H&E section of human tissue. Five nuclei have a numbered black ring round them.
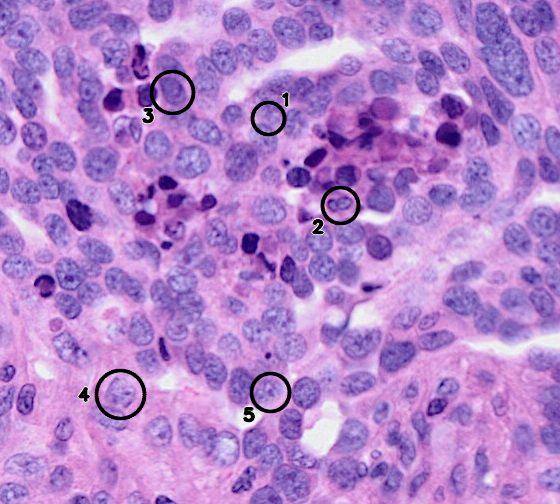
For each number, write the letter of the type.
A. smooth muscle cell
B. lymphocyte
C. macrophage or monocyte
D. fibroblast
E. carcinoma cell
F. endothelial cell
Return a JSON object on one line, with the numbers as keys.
{"1": "E", "2": "C", "3": "E", "4": "D", "5": "E"}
